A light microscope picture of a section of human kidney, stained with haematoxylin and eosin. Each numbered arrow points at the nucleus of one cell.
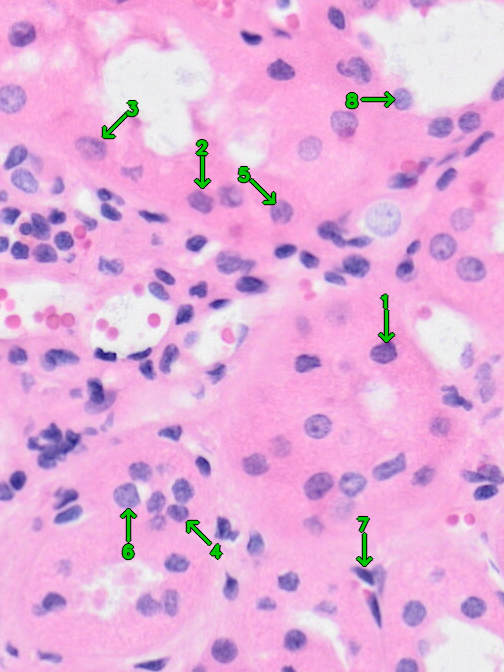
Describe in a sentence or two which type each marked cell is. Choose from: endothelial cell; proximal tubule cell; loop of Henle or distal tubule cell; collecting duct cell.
Cells 1, 2, 3 and 5 are proximal tubule cells. Cells 4, 6 and 8 are loop of Henle or distal tubule cells. Cell 7 is an endothelial cell.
